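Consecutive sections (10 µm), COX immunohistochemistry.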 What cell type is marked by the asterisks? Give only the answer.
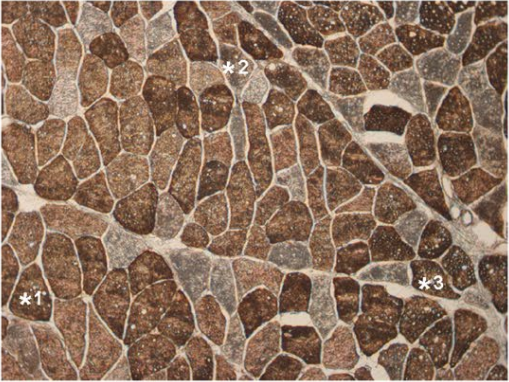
Muscle fibers.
